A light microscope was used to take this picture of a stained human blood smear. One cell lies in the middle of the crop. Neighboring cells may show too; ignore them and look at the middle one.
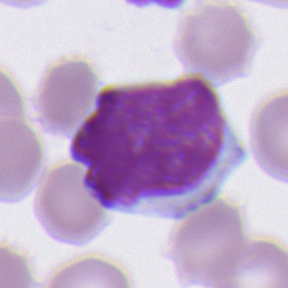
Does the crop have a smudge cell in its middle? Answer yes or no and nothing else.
no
